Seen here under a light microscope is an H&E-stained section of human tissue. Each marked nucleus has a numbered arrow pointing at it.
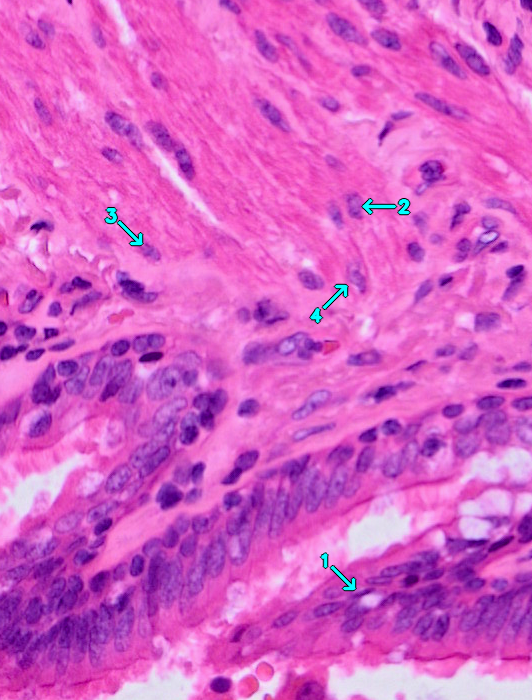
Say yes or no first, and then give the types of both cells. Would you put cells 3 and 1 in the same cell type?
No, cell 3 is a smooth muscle cell or pericyte and cell 1 is a ciliated epithelial cell.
